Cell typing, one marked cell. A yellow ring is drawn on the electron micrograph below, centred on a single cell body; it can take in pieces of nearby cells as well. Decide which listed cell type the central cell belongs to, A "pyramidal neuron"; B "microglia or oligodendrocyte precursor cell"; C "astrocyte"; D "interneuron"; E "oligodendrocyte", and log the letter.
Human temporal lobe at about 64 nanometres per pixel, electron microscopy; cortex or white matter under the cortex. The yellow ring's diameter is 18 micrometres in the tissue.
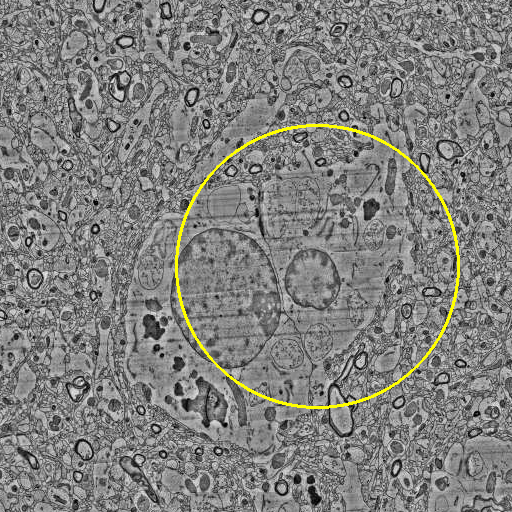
C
